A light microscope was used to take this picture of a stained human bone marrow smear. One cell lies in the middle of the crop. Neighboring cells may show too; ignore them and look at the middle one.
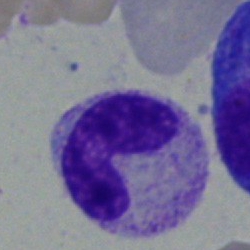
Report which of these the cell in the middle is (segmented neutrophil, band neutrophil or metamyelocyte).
band neutrophil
